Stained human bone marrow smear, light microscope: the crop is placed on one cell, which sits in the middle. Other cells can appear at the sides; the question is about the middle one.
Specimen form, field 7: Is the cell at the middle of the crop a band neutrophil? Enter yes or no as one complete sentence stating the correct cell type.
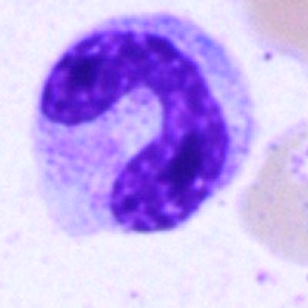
Yes, the cell centred in the field of view is a band neutrophil.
